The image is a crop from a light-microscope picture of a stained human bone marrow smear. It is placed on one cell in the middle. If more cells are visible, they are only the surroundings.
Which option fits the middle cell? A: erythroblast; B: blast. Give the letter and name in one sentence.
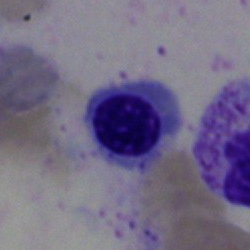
The cell right in the middle is an erythroblast, so option A is the one.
